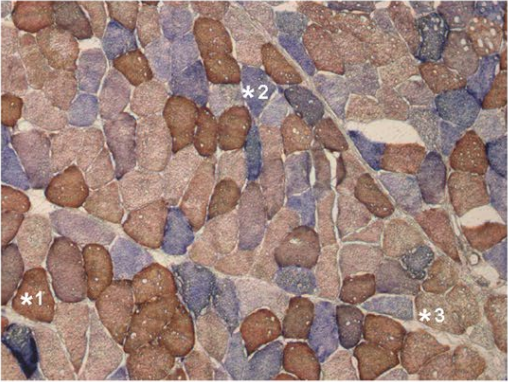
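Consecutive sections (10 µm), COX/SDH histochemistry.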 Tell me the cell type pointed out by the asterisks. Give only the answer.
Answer: Muscle fibers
